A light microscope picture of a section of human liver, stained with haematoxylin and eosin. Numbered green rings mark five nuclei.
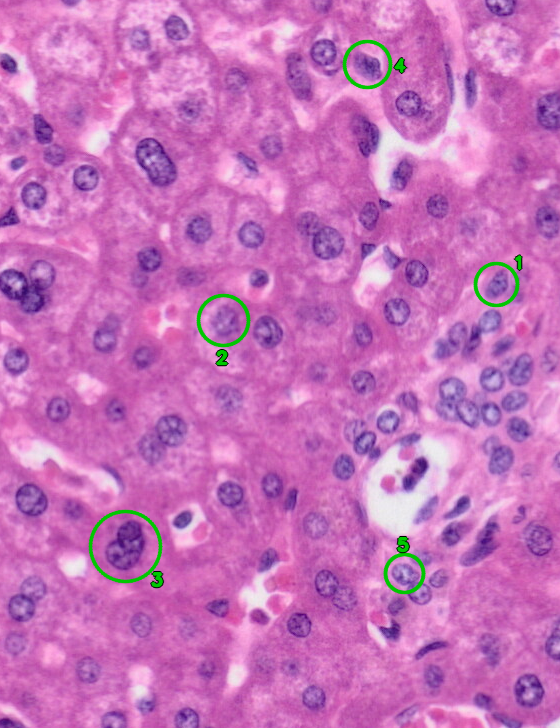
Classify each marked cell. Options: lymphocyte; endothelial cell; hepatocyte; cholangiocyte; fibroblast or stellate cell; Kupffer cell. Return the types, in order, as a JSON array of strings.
["cholangiocyte", "hepatocyte", "hepatocyte", "endothelial cell", "cholangiocyte"]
